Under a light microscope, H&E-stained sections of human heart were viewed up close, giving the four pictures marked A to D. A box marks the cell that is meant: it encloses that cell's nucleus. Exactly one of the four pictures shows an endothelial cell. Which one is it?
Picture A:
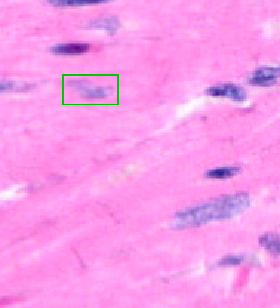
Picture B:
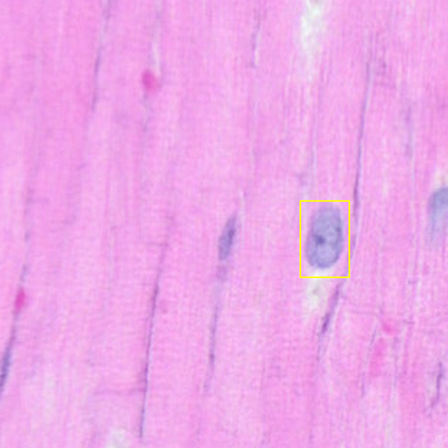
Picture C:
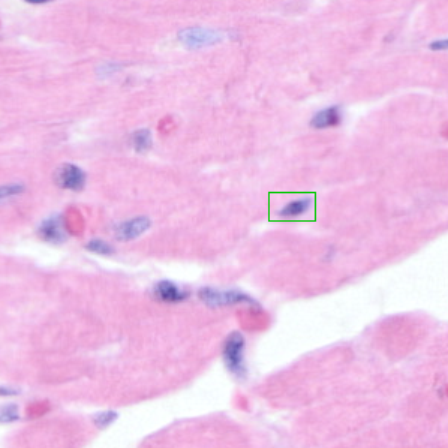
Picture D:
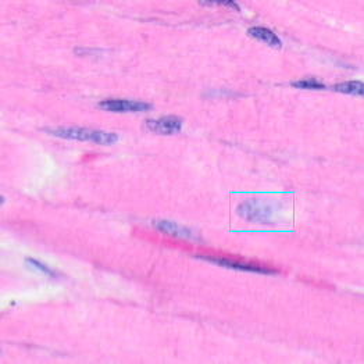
C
